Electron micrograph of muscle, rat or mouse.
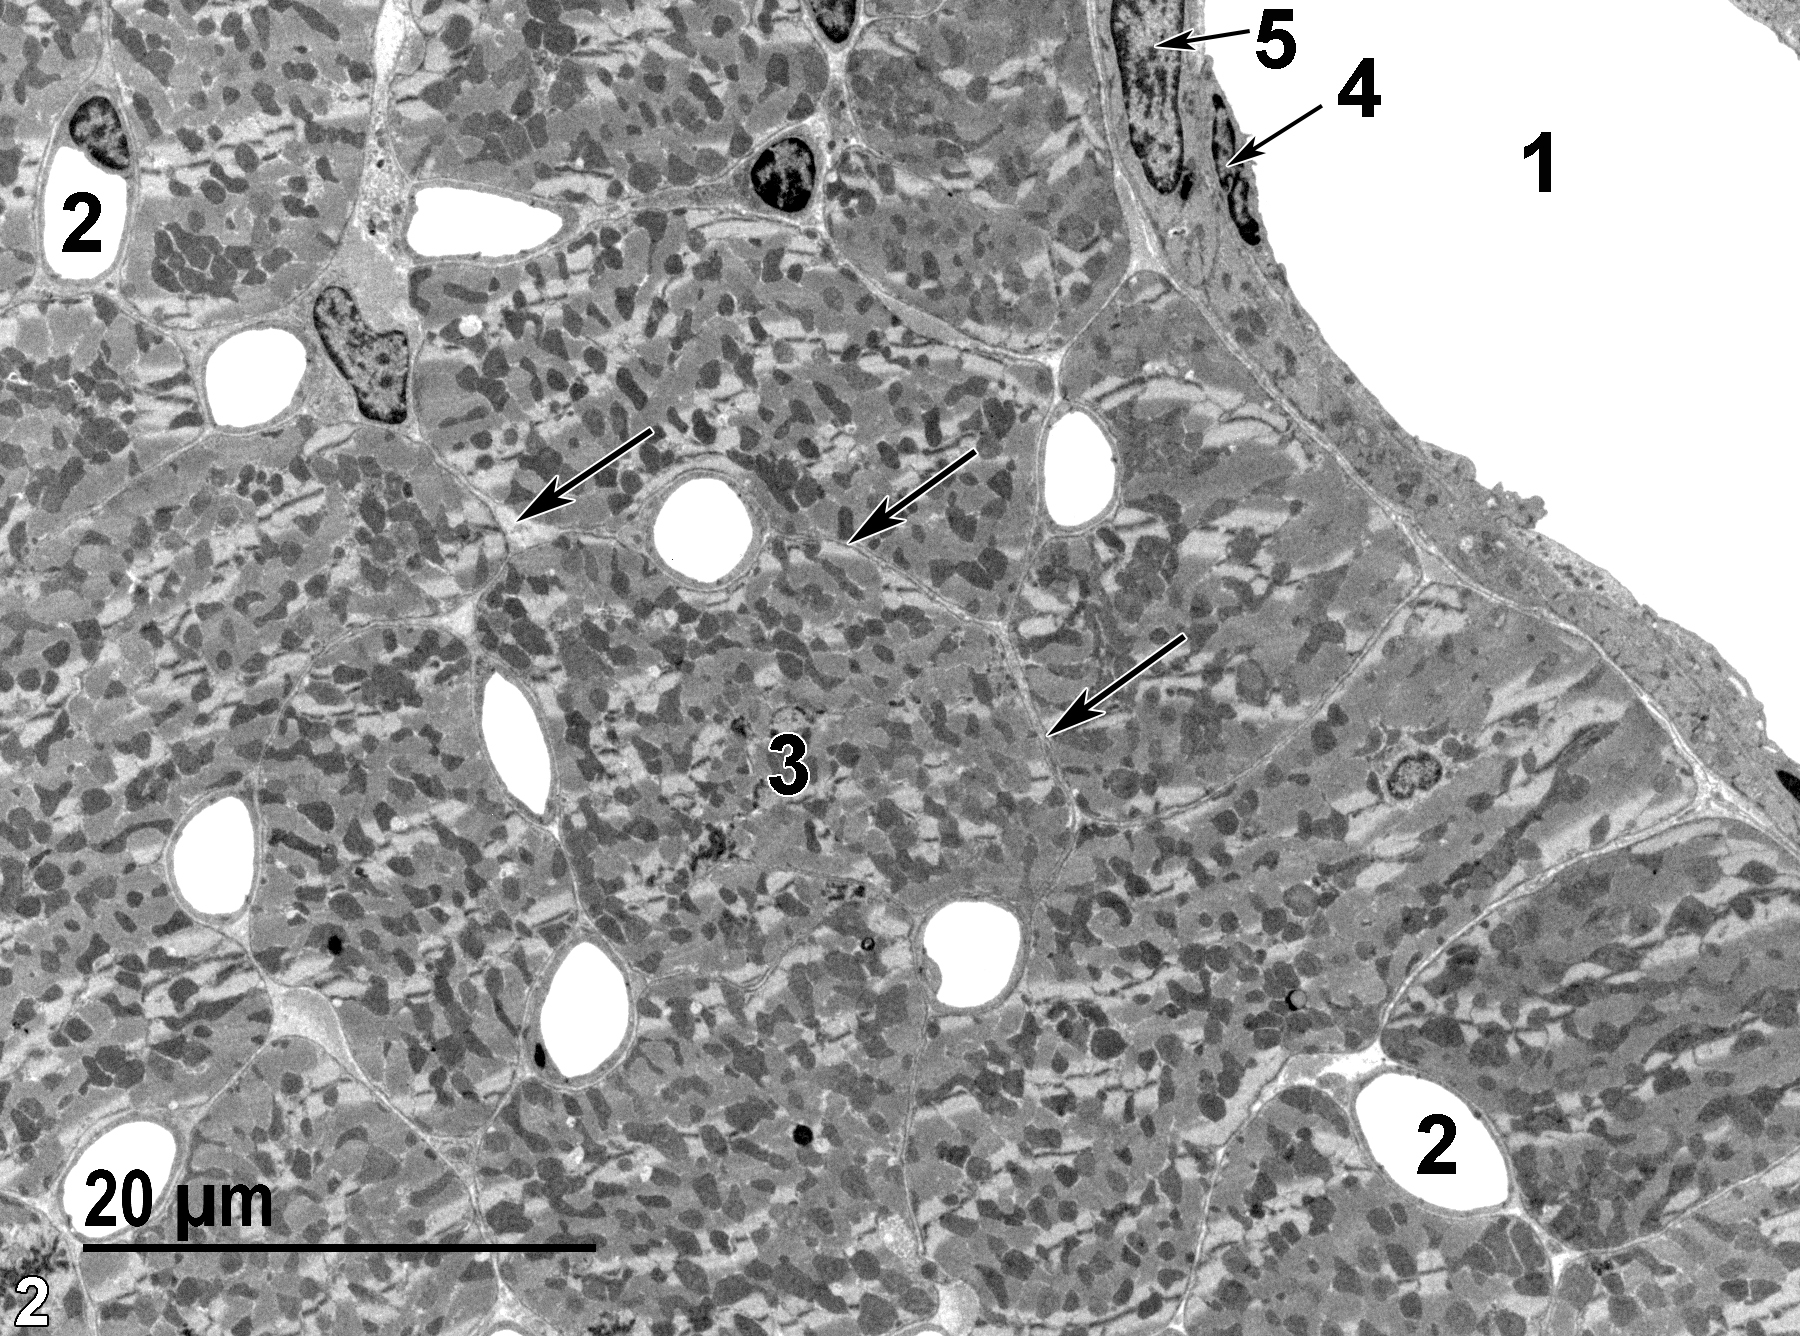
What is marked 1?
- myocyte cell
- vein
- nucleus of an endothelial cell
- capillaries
vein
